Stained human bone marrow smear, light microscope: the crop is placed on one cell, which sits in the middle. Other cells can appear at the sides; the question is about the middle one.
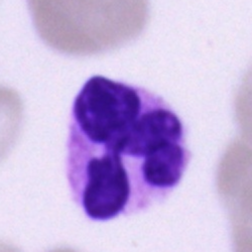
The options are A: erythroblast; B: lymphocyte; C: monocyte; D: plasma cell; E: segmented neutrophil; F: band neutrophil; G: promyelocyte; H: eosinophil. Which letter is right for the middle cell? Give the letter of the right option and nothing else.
E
